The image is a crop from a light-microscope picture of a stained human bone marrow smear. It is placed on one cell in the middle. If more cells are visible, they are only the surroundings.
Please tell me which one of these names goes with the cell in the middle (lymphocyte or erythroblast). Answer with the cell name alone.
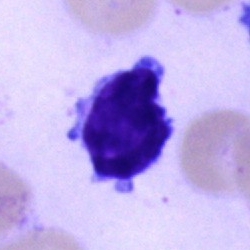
lymphocyte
